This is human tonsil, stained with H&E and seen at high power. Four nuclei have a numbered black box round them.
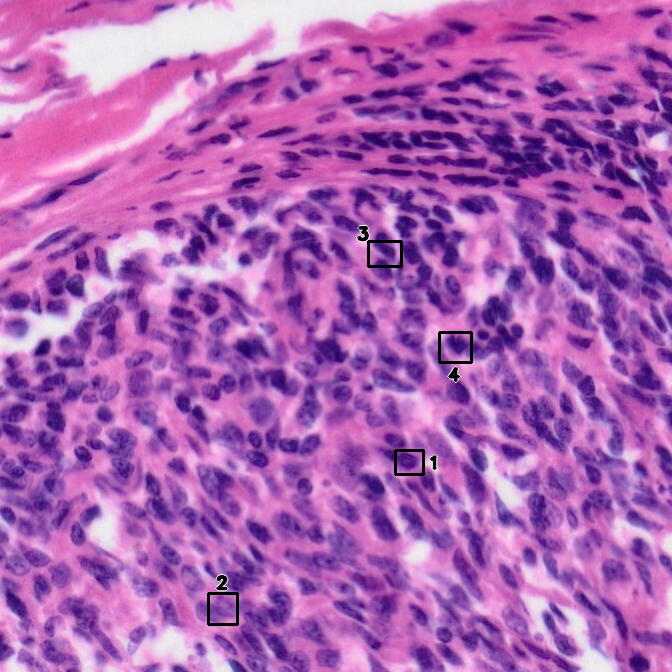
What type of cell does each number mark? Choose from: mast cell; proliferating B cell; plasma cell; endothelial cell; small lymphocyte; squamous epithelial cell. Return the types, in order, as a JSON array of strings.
["plasma cell", "proliferating B cell", "proliferating B cell", "proliferating B cell"]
